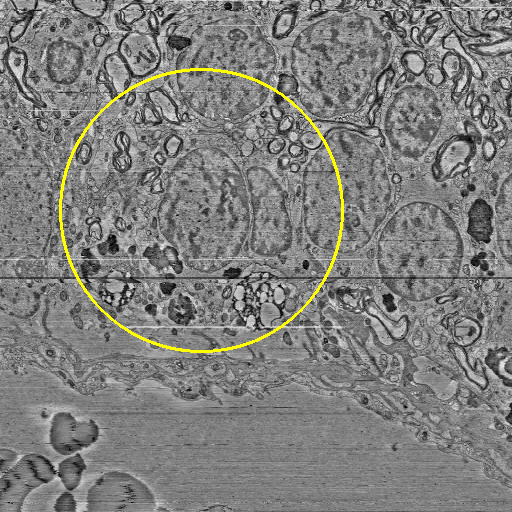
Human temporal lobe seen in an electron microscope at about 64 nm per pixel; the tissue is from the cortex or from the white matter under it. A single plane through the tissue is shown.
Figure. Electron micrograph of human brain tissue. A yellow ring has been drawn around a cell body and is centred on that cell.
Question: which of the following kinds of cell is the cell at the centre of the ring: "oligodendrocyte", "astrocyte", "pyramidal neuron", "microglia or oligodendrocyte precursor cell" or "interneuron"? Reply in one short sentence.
The cell at the centre of the ring is an oligodendrocyte.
